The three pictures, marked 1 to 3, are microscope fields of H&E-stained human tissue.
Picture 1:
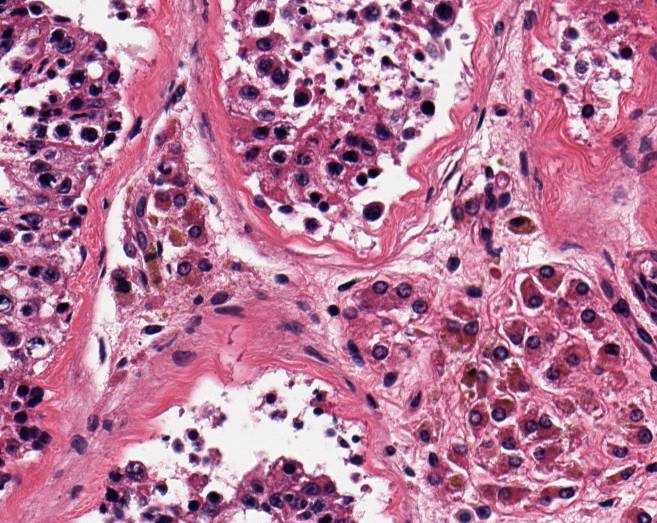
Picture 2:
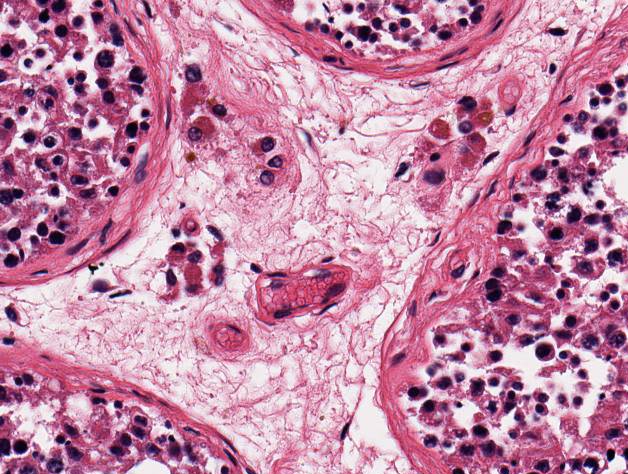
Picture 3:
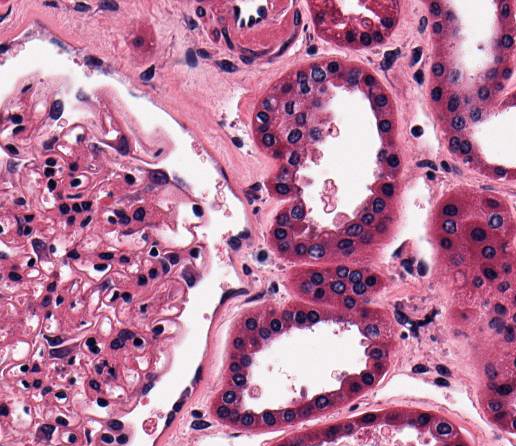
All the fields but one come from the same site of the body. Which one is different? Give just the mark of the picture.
3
